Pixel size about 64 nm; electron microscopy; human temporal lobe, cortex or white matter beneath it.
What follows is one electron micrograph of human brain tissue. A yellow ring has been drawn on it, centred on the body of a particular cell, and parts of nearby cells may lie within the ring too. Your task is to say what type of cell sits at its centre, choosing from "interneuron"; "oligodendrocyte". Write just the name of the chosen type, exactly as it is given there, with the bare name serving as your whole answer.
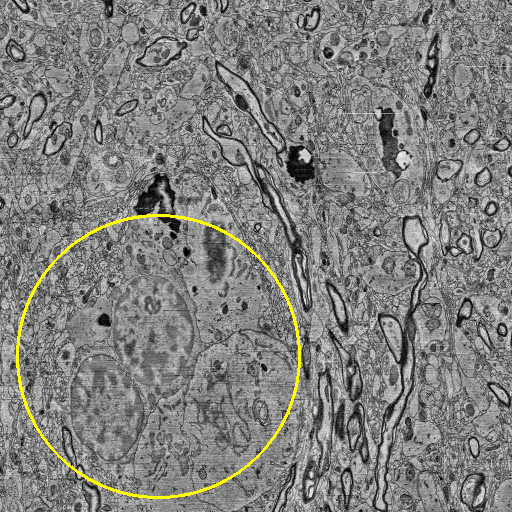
oligodendrocyte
